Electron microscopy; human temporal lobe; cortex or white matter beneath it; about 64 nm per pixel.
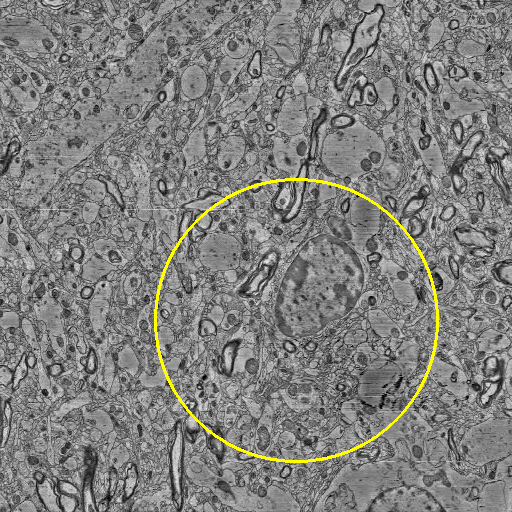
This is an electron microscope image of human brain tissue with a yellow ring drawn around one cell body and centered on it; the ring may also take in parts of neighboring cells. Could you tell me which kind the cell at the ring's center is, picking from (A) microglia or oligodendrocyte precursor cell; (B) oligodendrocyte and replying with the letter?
A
